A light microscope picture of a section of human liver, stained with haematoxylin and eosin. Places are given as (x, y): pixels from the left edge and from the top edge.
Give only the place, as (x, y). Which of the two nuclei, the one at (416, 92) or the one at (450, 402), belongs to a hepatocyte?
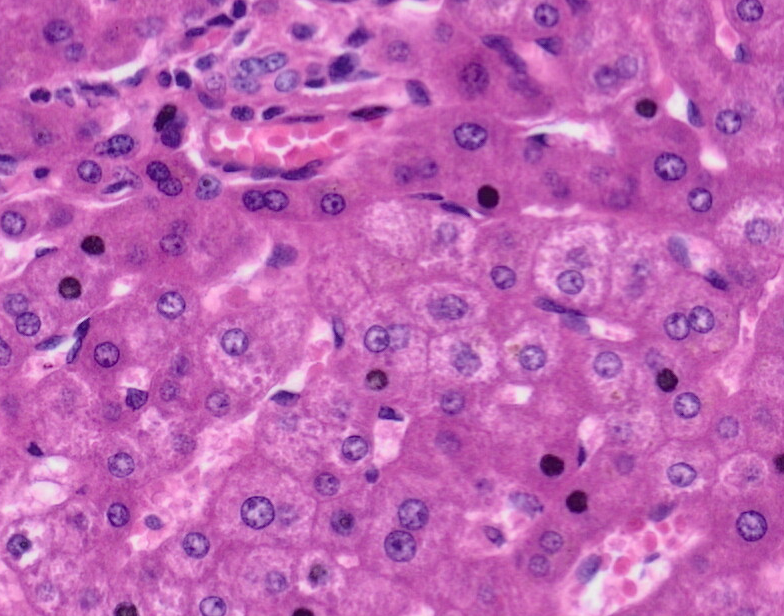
(450, 402)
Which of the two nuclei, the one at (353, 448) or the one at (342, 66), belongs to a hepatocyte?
(353, 448)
